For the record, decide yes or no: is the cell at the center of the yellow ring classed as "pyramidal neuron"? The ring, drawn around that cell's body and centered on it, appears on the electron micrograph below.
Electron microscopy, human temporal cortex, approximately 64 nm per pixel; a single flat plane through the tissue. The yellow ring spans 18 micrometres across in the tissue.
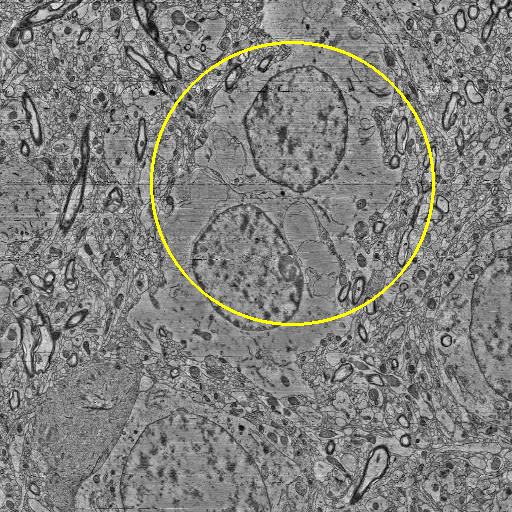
no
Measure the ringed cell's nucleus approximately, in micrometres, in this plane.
Approximately 8 by 7 micrometers in this plane.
